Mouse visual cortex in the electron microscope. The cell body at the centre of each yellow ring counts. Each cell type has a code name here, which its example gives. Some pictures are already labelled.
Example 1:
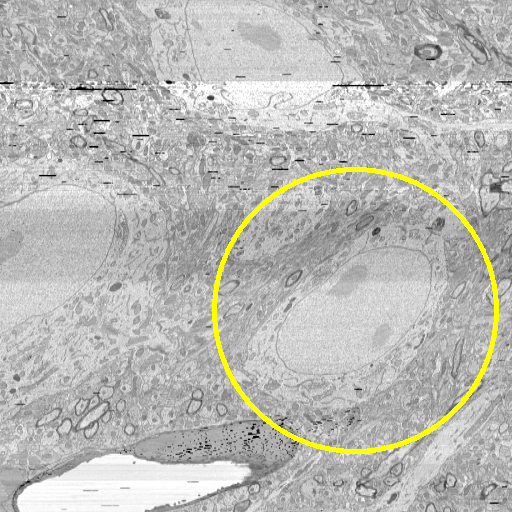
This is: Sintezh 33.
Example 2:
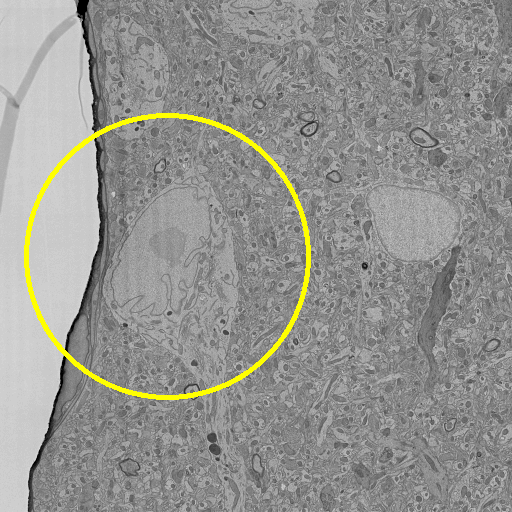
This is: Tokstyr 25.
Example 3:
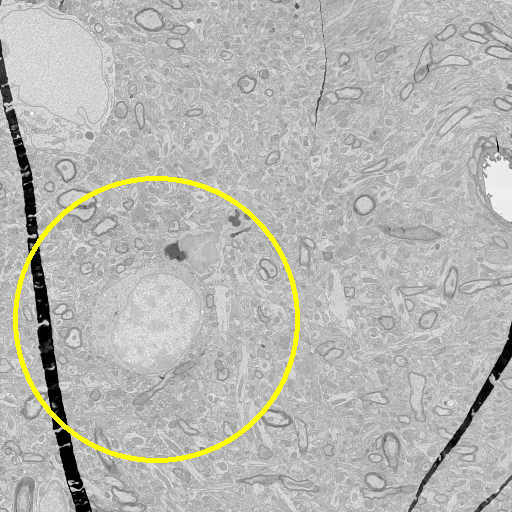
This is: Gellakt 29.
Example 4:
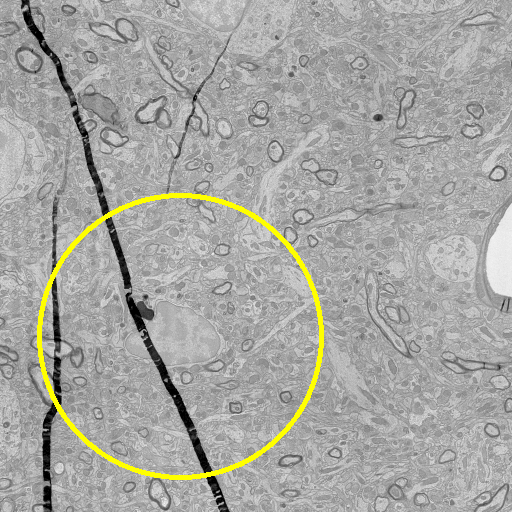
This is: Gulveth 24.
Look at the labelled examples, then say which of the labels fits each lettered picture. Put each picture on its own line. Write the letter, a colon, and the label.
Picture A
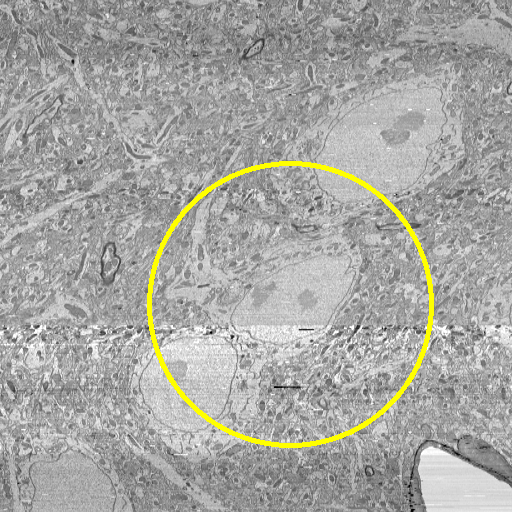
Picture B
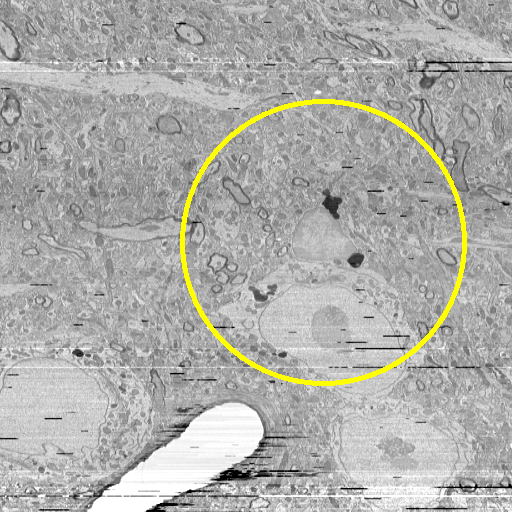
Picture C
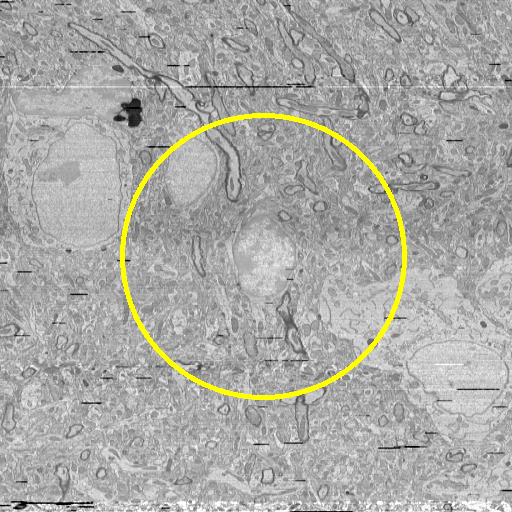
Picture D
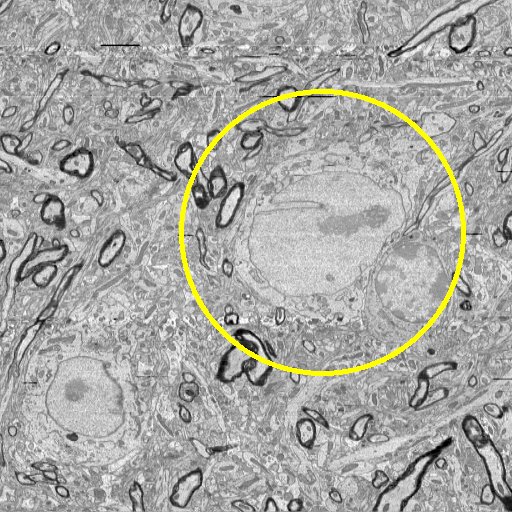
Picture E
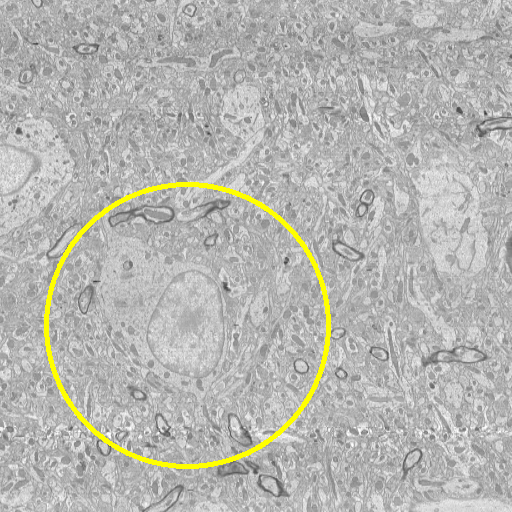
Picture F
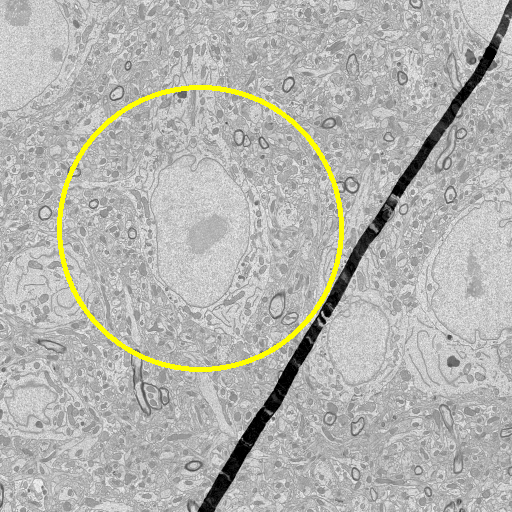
A: Sintezh 33.
B: Gulveth 24.
C: Gellakt 29.
D: Tokstyr 25.
E: Gellakt 29.
F: Tokstyr 25.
